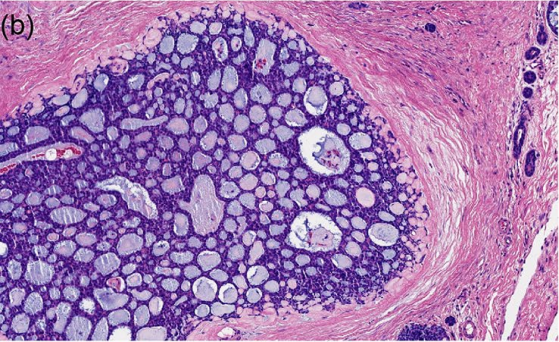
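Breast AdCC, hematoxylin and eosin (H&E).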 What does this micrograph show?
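A large nest of small basaloid tumour cells with dark purple nuclei and scant cytoplasm lies in pink fibrous stroma. The nest is perforated by numerous round, sieve-like spaces filled with pale grey-blue homogeneous material, giving a cribriform pattern.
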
